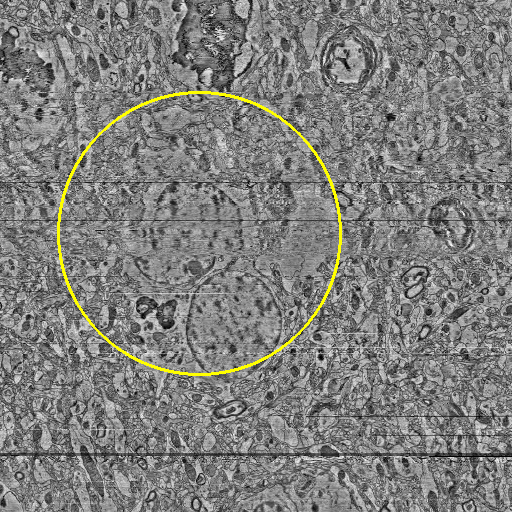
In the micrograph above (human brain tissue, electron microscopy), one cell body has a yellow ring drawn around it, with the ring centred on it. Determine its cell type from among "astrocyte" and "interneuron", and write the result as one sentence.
The cell whose body is ringed is an astrocyte.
